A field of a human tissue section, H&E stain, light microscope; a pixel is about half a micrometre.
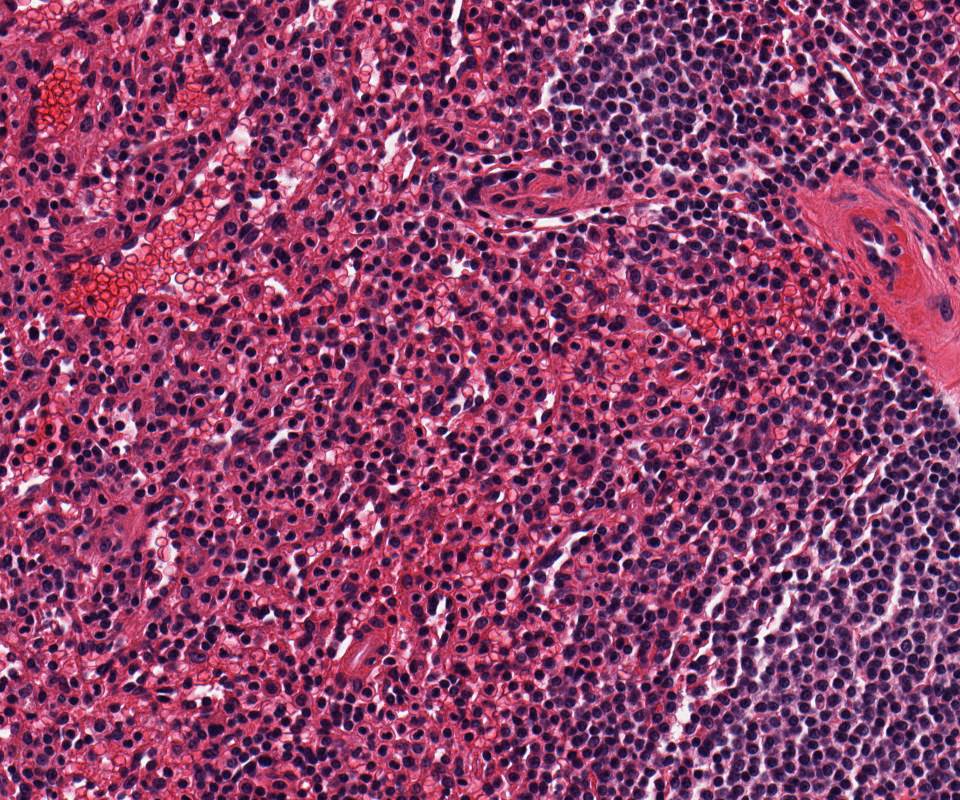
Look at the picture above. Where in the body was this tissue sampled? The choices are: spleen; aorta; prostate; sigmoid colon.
spleen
